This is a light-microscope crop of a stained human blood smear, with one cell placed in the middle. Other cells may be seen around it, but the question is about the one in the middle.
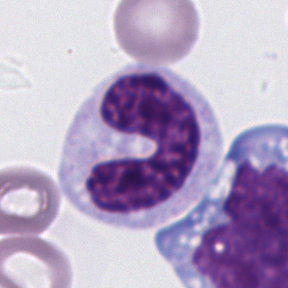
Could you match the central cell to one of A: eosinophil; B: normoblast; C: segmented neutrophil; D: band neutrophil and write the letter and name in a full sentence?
The expected answer is option D, the central cell being a band neutrophil.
